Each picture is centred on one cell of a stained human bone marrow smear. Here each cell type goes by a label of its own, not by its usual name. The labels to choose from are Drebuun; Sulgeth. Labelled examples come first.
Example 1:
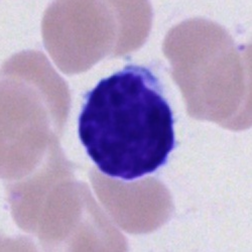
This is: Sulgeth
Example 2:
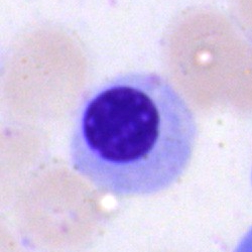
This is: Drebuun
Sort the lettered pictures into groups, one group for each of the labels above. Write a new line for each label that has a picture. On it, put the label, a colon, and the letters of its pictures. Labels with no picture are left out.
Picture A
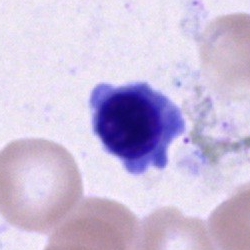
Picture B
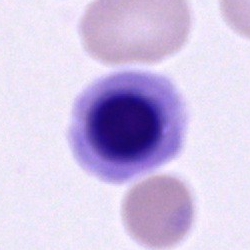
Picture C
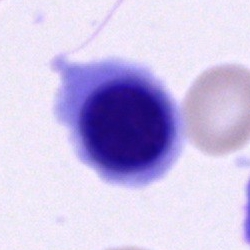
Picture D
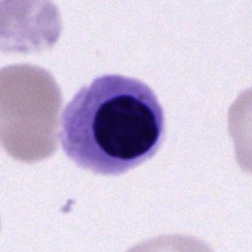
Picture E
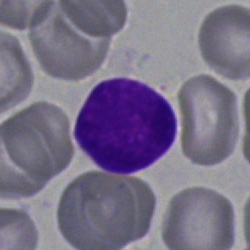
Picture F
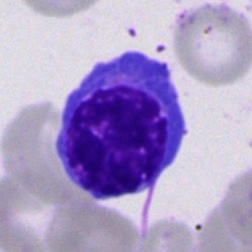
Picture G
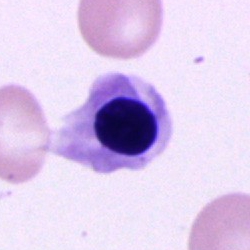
Drebuun: A, B, C, D, F, G
Sulgeth: E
